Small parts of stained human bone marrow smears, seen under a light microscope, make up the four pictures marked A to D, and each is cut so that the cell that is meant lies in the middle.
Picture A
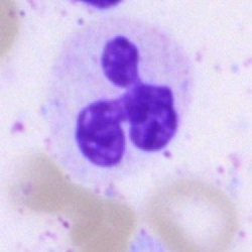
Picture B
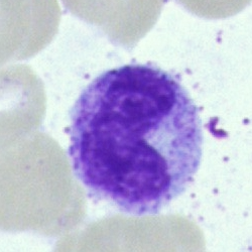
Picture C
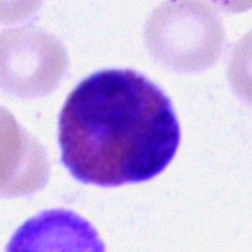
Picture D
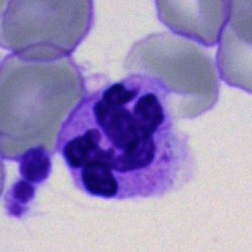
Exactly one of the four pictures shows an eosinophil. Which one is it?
C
